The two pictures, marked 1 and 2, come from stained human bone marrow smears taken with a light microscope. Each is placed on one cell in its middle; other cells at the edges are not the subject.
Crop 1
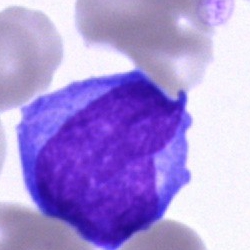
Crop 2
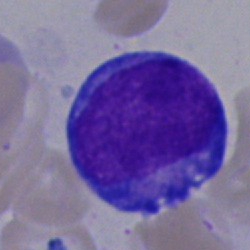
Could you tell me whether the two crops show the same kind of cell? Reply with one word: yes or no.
yes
